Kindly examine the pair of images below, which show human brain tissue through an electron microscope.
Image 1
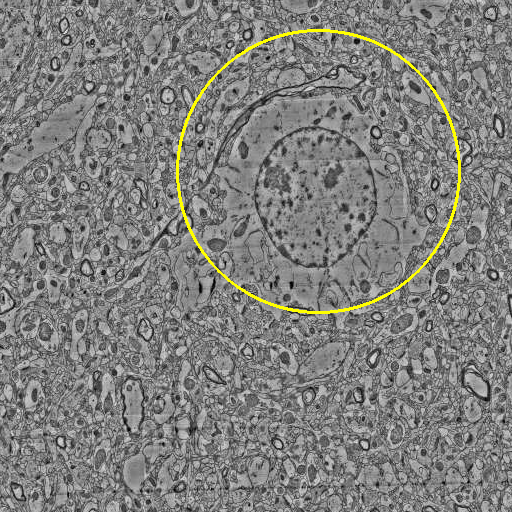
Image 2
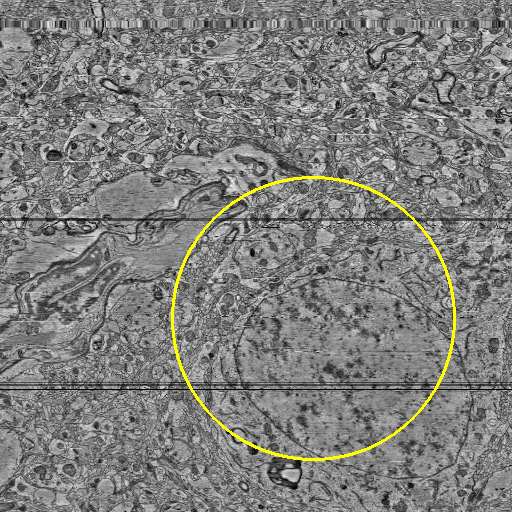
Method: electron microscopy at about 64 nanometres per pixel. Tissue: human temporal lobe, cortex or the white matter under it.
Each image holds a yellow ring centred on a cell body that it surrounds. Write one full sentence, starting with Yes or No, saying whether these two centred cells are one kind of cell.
No, the cells at the centres of the yellow rings belong to two kinds of cell.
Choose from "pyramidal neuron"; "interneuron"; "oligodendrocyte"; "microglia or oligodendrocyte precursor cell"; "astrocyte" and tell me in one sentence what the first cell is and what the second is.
What the first ring is centred on is an astrocyte; what the second ring is centred on is a pyramidal neuron.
